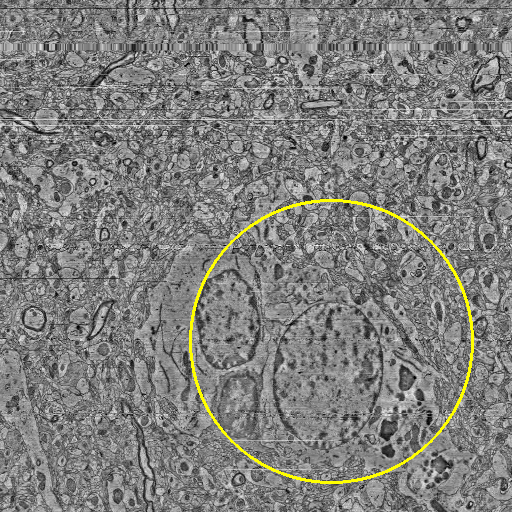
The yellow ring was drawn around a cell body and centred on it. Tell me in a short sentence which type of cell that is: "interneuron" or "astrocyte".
The cell at the ring's centre is an astrocyte.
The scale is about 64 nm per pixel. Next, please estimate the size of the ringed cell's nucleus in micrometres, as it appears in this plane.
About 10 by 7 micrometres in this plane.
